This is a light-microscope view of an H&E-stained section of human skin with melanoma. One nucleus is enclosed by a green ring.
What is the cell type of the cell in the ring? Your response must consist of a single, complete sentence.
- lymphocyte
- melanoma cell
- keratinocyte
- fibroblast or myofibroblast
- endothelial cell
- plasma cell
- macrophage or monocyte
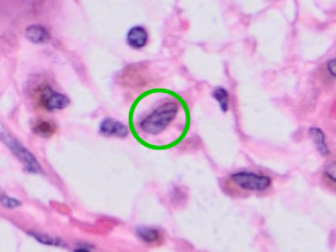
As for its identity, the cell in the ring is a macrophage or monocyte.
